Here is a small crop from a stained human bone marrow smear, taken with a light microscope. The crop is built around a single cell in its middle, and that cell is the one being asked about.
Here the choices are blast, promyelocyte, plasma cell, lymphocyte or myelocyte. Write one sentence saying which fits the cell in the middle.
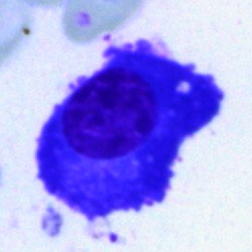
The cell under consideration, at the middle of the crop, is a plasma cell.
